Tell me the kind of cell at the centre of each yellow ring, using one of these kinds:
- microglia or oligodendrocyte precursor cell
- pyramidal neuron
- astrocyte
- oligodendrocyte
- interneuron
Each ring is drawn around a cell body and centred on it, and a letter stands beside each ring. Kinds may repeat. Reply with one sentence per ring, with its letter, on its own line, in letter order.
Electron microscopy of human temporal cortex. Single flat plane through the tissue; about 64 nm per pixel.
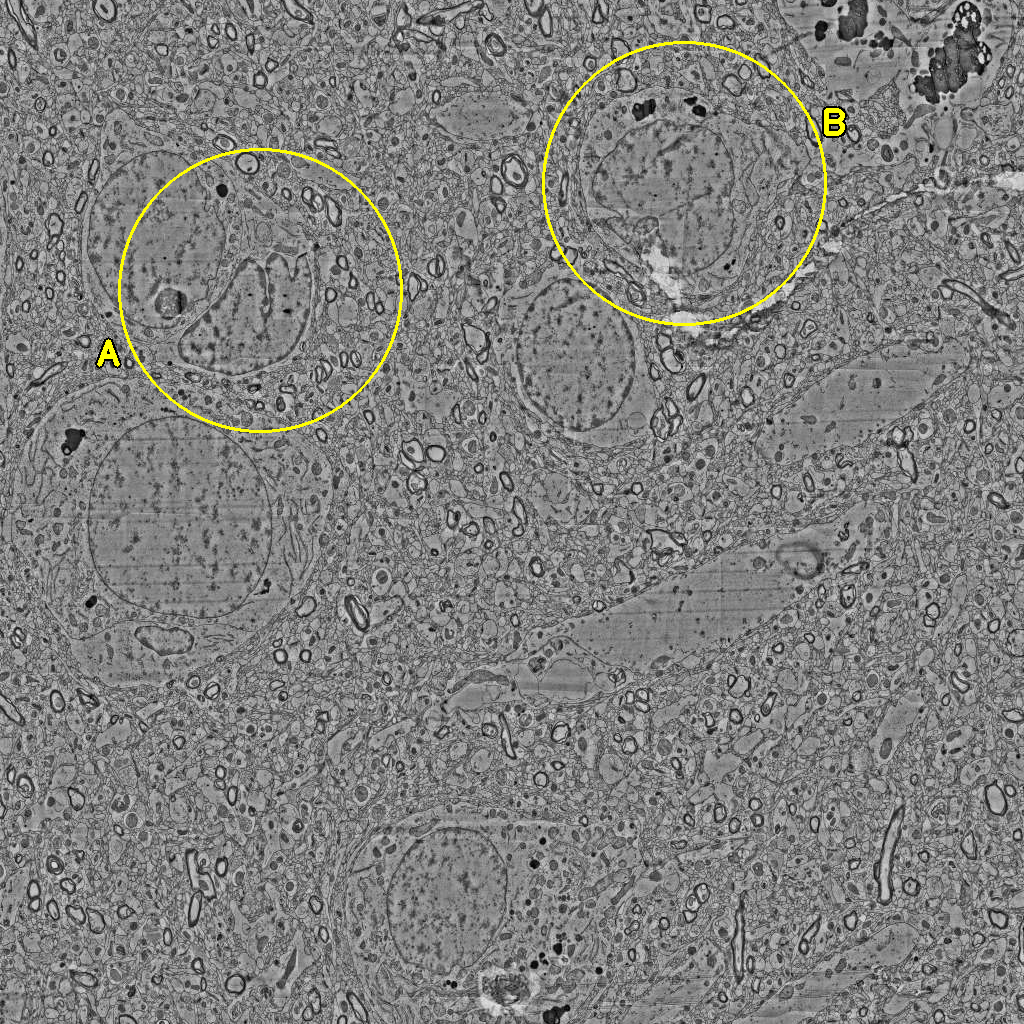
The ring labelled A is centred on a microglial cell or oligodendrocyte precursor cell.
The ring labelled B is centred on a pyramidal neuron.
